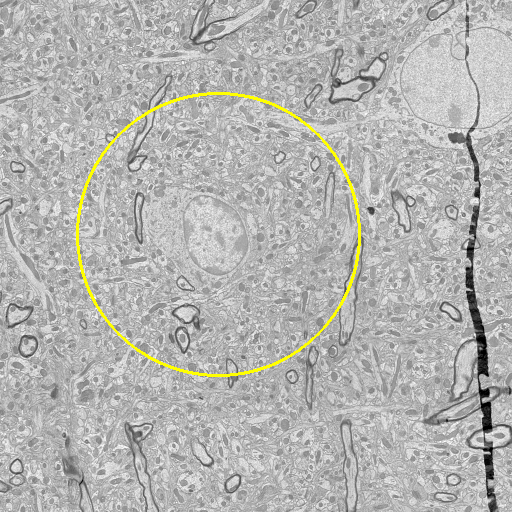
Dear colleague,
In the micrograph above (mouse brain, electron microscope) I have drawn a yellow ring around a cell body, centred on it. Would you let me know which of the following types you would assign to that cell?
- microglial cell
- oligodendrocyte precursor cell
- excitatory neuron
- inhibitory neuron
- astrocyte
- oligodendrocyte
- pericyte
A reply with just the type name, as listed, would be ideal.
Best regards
oligodendrocyte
